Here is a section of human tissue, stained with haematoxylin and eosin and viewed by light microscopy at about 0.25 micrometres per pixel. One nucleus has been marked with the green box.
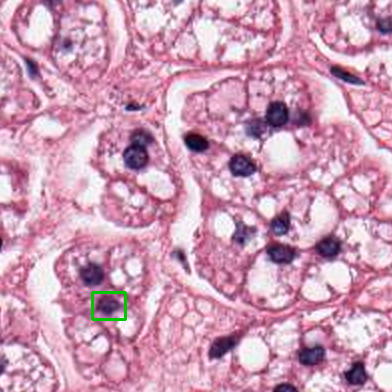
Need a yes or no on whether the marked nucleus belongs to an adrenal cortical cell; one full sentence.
Yes, the owner of the marked nucleus is an adrenal cortical cell.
